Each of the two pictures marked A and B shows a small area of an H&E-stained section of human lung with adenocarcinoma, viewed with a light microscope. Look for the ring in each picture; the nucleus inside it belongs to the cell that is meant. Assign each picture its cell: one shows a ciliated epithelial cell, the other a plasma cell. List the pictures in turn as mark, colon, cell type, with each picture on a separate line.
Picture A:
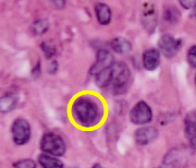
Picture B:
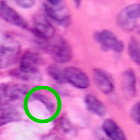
A: plasma cell
B: ciliated epithelial cell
